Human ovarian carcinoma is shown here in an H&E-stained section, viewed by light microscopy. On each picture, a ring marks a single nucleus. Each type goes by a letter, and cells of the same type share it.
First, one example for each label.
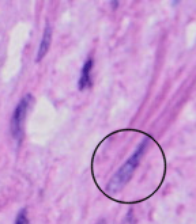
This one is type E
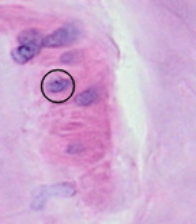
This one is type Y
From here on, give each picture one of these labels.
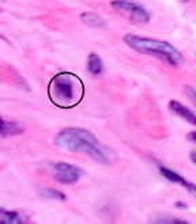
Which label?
type Y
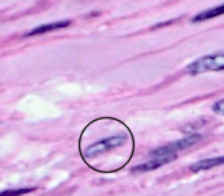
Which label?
type E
